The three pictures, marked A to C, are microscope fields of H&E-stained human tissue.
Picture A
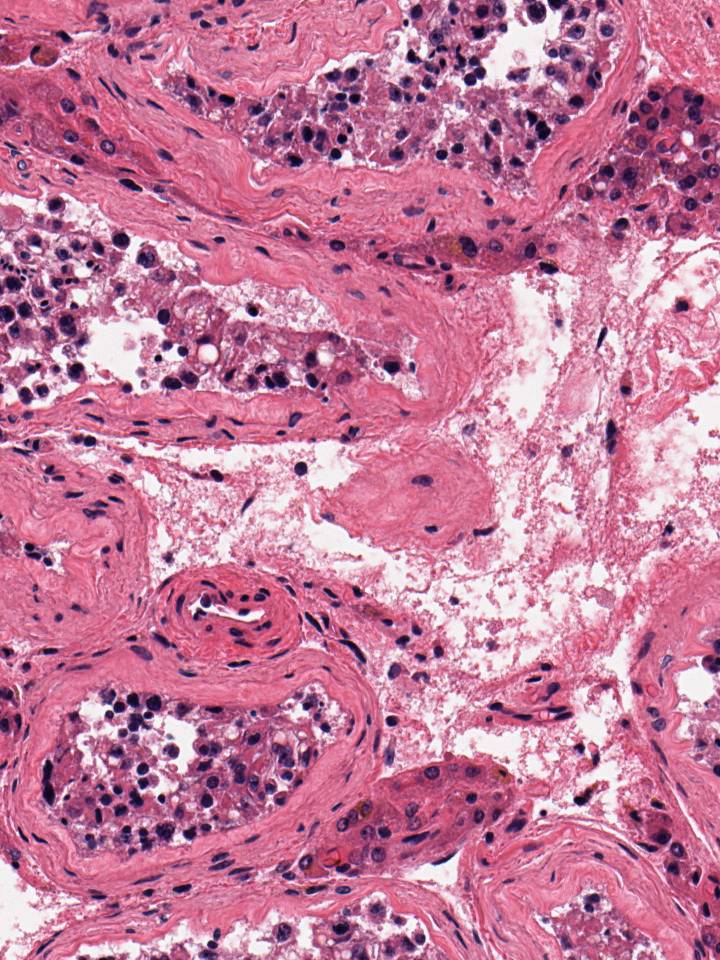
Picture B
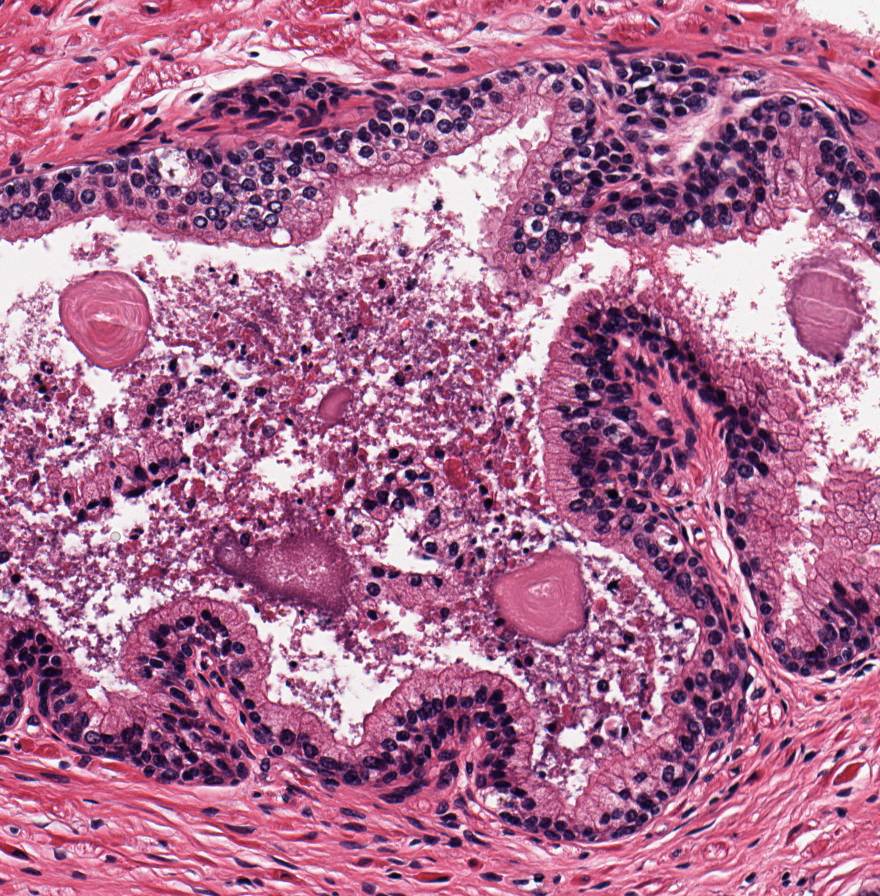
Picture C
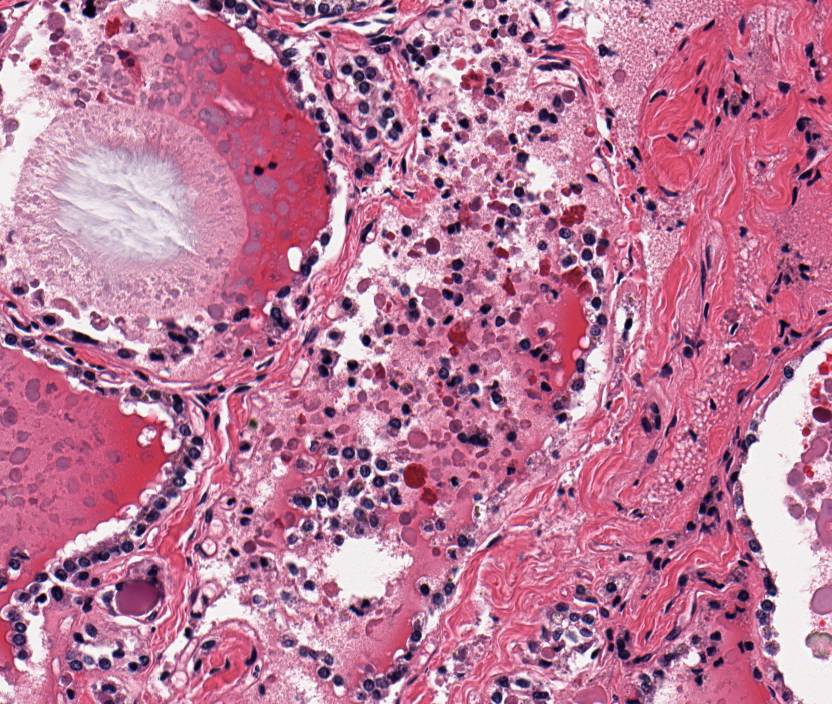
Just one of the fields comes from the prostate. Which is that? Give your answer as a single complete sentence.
Picture B is the field that comes from the prostate.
